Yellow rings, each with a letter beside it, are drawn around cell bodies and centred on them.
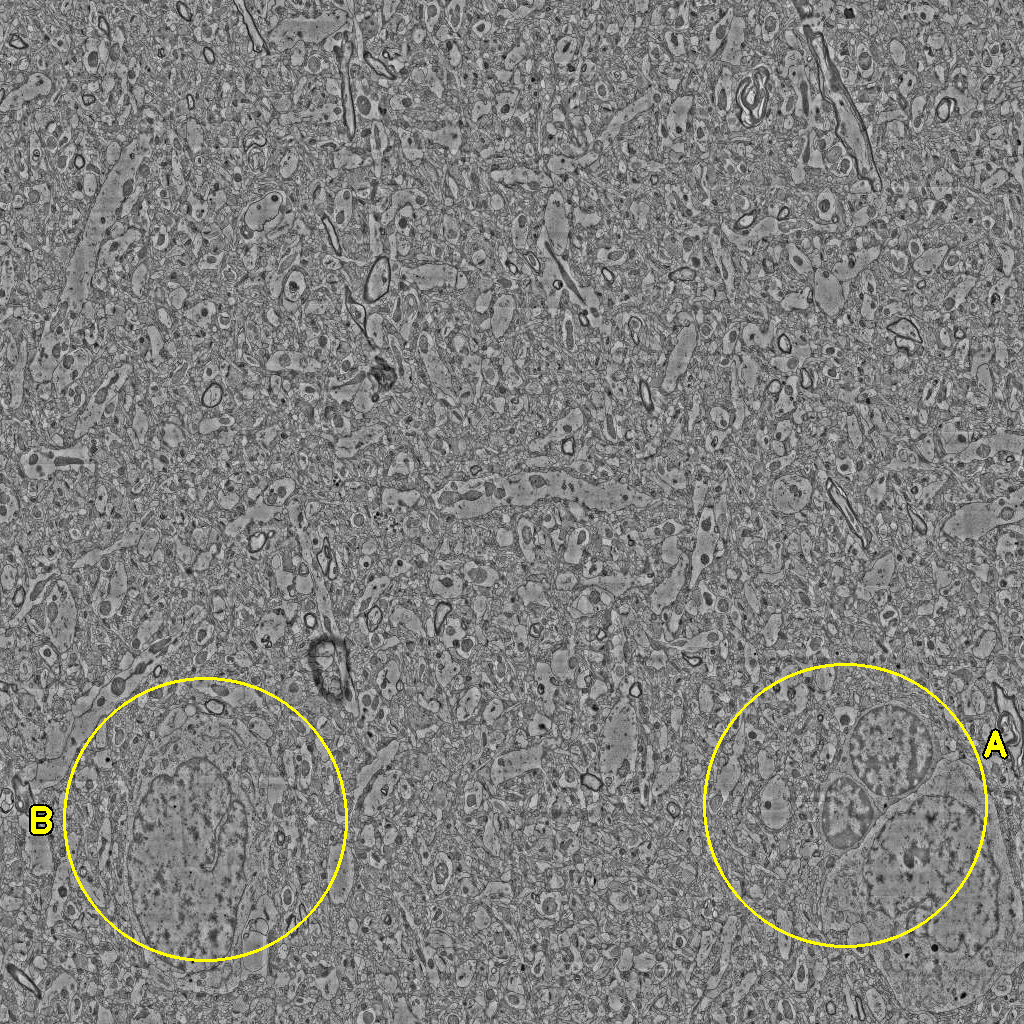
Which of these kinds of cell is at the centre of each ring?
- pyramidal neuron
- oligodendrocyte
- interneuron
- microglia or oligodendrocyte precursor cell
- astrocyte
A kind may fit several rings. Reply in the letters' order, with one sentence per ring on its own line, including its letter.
The cell in the middle of ring A is an oligodendrocyte.
The cell in the middle of ring B is an interneuron.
